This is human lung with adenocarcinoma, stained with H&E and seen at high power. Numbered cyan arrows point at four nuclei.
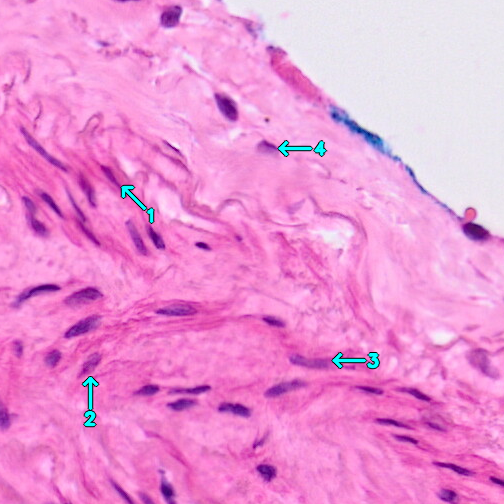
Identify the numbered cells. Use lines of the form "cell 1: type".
cell 1: smooth muscle cell or pericyte
cell 2: smooth muscle cell or pericyte
cell 3: smooth muscle cell or pericyte
cell 4: fibroblast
